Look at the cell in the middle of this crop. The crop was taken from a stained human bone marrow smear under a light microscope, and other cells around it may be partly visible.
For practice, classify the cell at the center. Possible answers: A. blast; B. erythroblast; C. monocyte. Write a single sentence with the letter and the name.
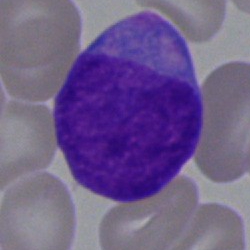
In this crop the central cell is a blast, which option A correctly states.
